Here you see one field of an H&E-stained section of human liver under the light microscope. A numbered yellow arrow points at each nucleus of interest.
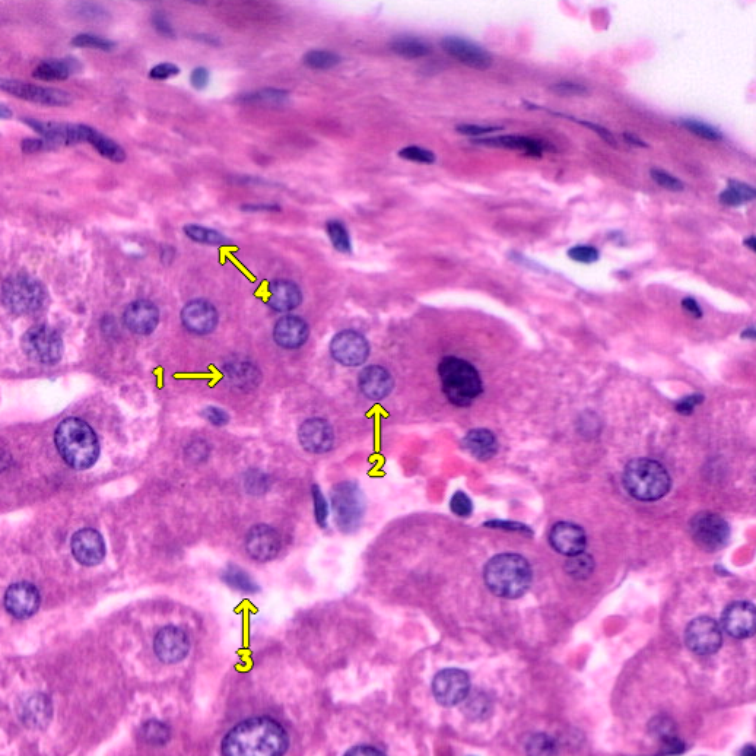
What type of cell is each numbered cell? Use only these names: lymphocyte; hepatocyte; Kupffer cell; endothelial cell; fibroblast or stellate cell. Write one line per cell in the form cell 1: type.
cell 1: hepatocyte
cell 2: hepatocyte
cell 3: Kupffer cell
cell 4: fibroblast or stellate cell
